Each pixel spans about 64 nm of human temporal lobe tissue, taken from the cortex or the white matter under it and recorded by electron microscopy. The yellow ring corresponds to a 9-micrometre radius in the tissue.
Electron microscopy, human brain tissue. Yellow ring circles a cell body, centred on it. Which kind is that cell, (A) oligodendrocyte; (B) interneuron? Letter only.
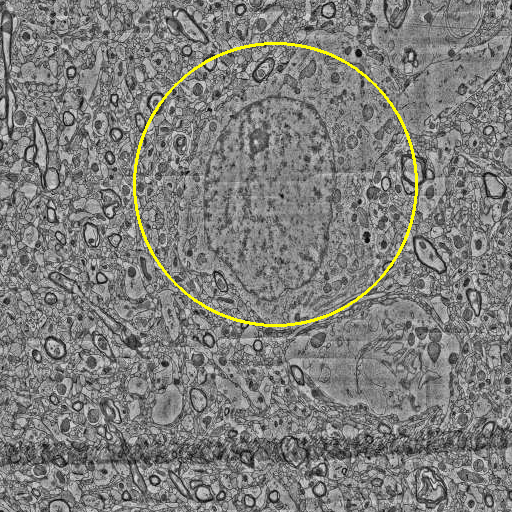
B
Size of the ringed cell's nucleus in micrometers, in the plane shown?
Roughly 13 micrometres by 8 micrometres, so the nucleus is clearly longer than it is wide in this plane.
